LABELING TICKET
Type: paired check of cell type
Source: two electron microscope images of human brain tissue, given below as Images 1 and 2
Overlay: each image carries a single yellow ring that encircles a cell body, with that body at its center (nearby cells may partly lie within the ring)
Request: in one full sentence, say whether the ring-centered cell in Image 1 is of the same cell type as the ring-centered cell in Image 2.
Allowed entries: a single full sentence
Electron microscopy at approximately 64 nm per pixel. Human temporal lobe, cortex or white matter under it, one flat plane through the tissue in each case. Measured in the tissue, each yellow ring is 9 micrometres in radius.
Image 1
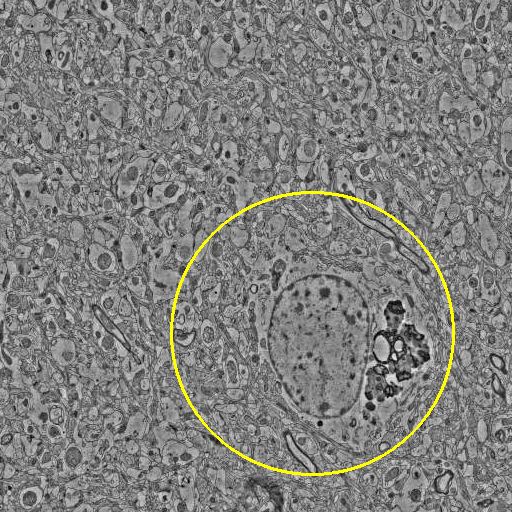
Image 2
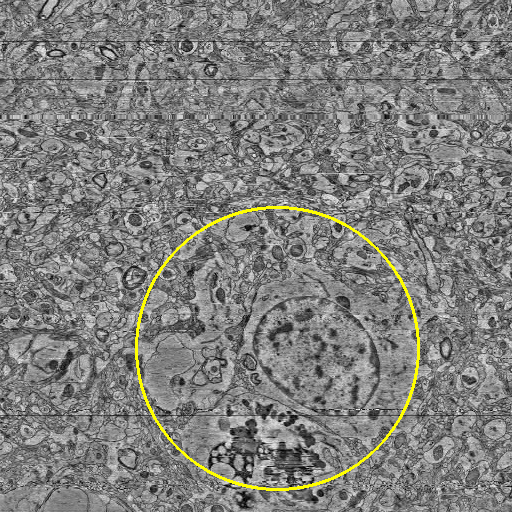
Yes, the cells centered in the rings of Image 1 and Image 2 share one type.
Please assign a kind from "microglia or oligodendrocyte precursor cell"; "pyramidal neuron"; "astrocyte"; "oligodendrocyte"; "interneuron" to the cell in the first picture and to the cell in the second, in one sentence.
Each cell at the centre of a ring is an astrocyte.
